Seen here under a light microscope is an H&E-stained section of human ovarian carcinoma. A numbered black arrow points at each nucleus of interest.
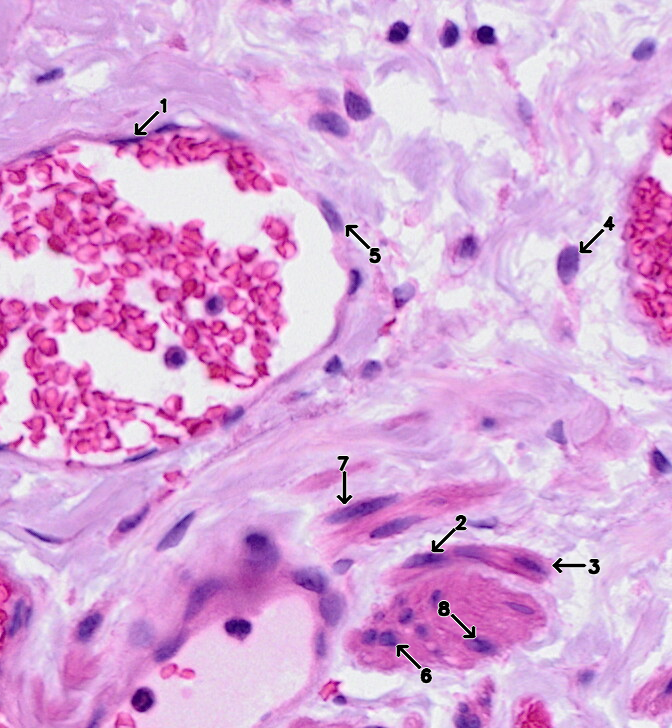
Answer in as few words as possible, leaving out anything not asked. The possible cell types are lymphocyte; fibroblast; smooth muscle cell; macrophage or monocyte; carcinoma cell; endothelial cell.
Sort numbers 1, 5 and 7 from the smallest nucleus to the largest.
1, 7, 5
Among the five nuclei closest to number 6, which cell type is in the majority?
smooth muscle cell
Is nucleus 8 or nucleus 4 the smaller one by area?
8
